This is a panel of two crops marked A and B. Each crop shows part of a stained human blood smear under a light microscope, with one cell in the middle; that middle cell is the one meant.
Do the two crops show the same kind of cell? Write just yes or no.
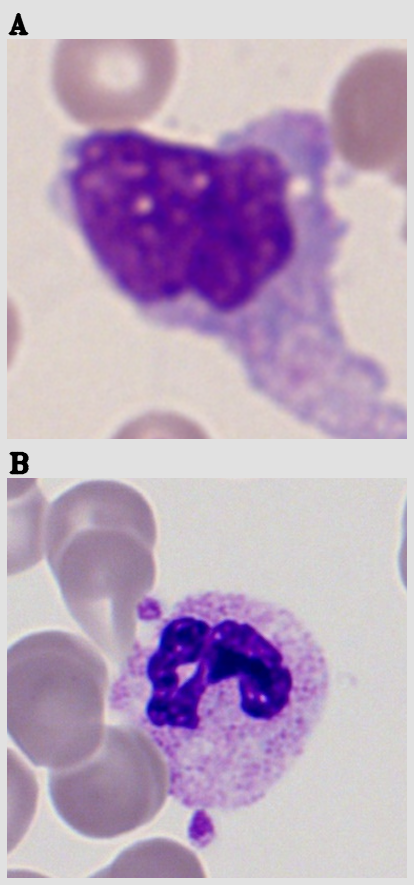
no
